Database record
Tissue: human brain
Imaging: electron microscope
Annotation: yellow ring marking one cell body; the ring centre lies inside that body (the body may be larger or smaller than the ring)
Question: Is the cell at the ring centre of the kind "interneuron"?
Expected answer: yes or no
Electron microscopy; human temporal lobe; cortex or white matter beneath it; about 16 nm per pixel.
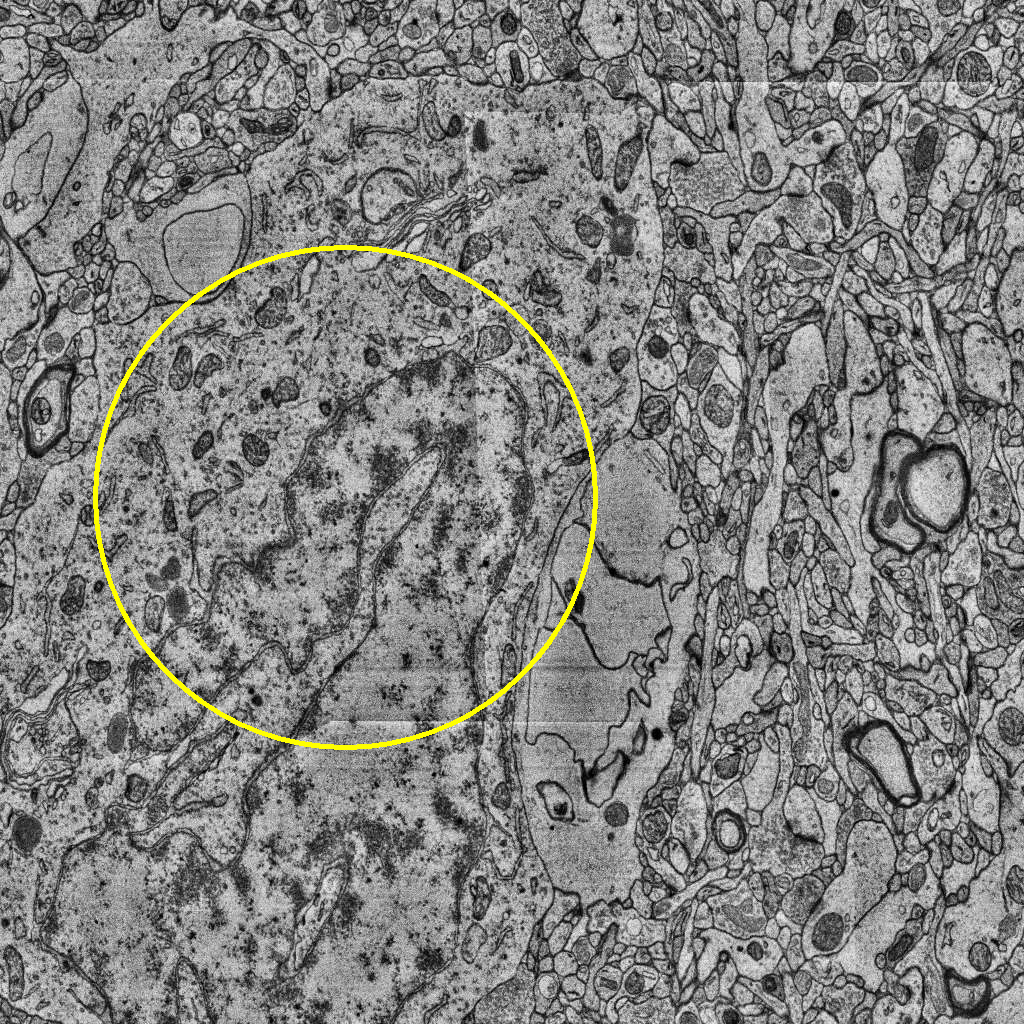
yes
